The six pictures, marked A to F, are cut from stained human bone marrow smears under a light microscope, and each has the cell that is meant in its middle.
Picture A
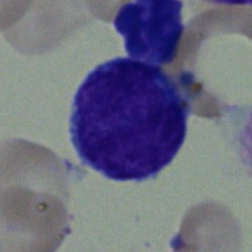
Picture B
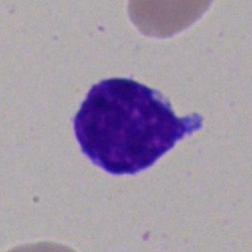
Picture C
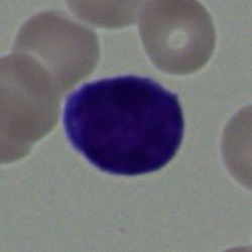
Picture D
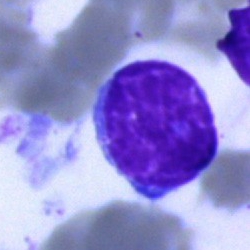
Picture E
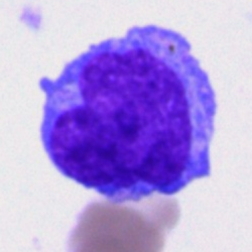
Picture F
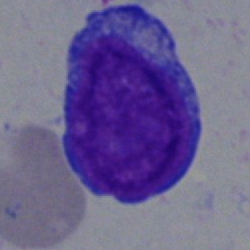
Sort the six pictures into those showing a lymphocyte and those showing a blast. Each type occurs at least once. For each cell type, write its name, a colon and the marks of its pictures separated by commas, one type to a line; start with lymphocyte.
lymphocyte: A, C, D
blast: B, E, F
